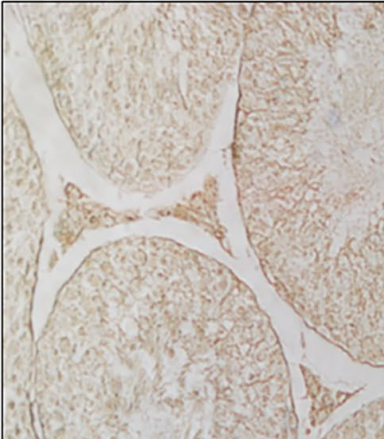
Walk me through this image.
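This is testicular tissue cut across several large round tubules that fill most of the view. Each tubule is lined by a thick epithelium of many cell layers that converges towards a central region. Between the tubules lie narrow, roughly triangular interstitial spaces, some of which contain brownish-stained material.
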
